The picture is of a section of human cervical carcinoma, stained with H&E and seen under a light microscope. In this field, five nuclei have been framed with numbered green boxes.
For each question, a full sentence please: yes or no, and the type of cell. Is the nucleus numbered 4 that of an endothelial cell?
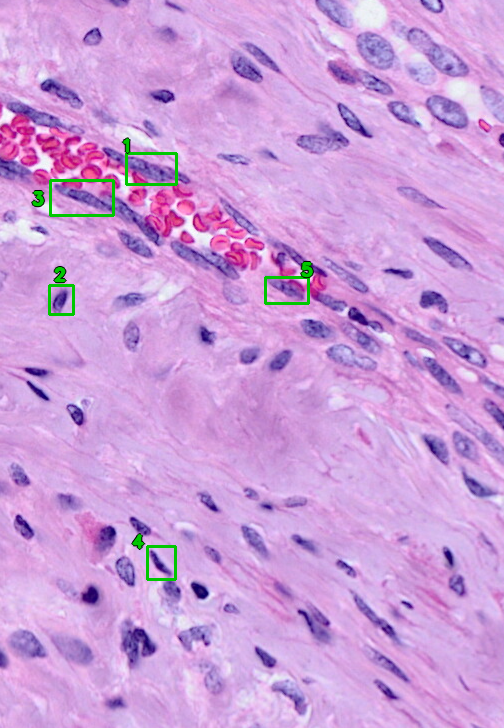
No, for cell 4, the correct identification is a fibroblast instead of an endothelial cell.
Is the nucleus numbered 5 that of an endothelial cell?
Yes, as for number 5, the cell is an endothelial cell.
